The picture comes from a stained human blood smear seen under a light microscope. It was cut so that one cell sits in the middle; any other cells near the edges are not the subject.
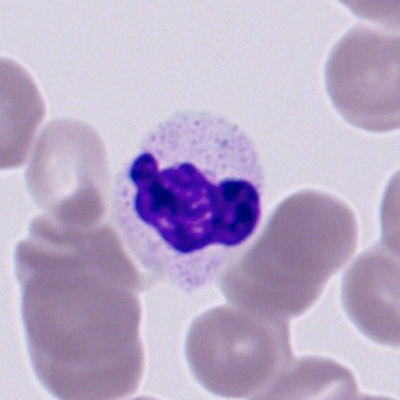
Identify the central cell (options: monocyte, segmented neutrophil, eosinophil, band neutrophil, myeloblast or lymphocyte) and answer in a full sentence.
Classified as a segmented neutrophil is the cell in the middle of this crop.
